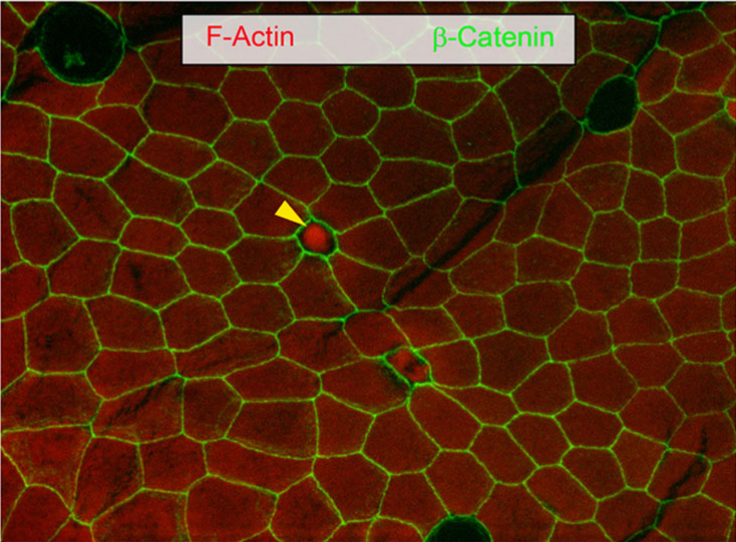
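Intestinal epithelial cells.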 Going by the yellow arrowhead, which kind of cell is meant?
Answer: Tuft cells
